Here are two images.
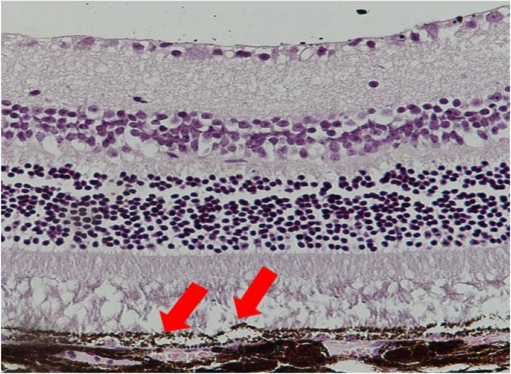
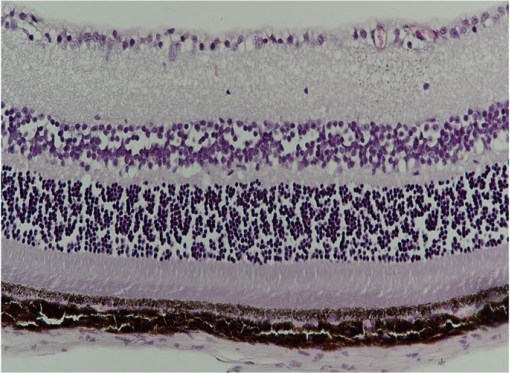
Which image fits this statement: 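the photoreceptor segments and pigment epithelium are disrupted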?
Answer: The first image.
